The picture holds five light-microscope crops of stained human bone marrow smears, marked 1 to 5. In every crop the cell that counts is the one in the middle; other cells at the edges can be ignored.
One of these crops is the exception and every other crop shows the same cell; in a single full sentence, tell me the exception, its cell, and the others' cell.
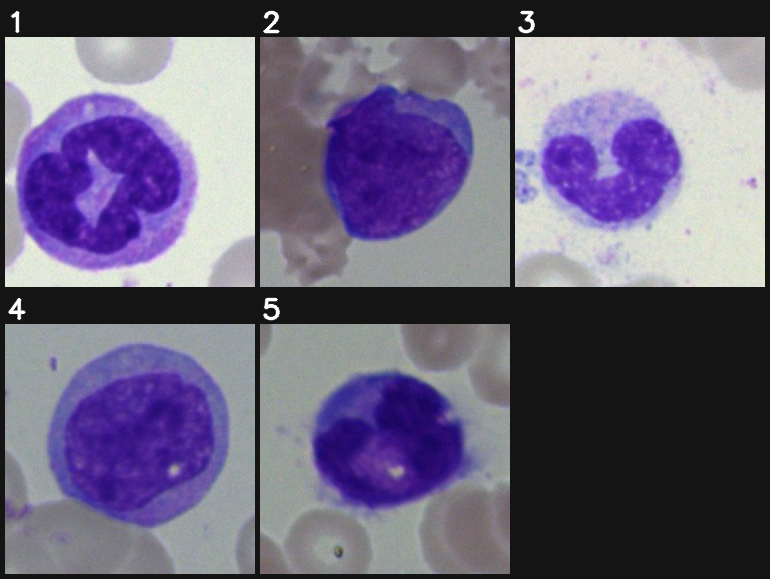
Crop 2 presents a blast, while monocytes are presented by all other crops.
